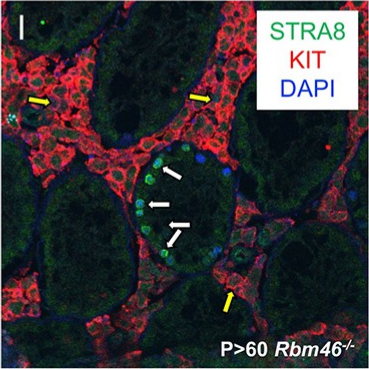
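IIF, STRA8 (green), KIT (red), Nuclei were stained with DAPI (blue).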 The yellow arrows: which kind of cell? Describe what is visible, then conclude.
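The arrowed cells lie in the spaces between the round tubules. They sit within broad red-stained clusters outside the tubules. So: Interstitial cells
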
